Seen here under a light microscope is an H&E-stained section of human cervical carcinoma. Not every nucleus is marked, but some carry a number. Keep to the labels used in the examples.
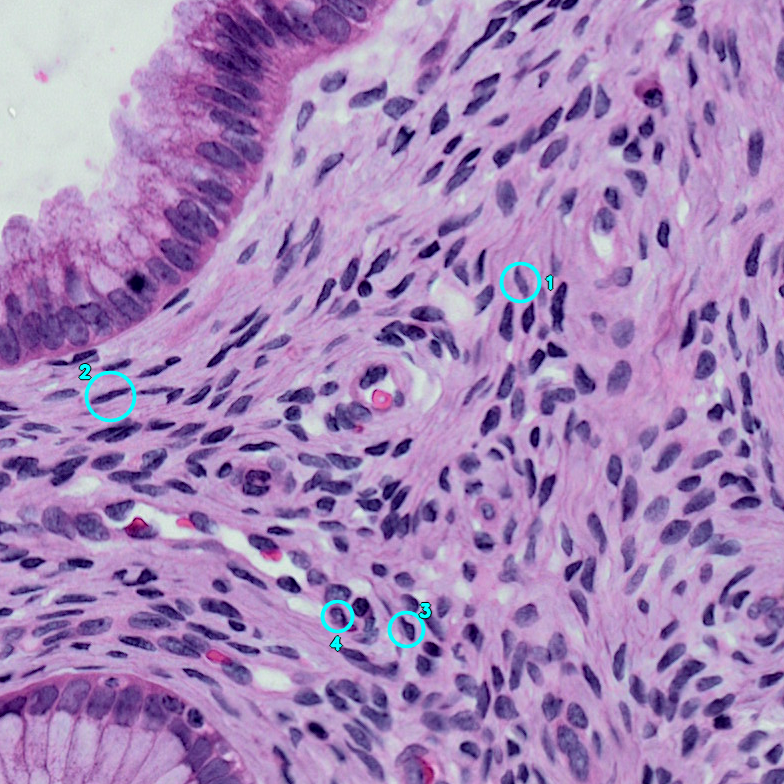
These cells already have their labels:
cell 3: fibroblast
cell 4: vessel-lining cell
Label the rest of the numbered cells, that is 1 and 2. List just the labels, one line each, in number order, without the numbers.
fibroblast
fibroblast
